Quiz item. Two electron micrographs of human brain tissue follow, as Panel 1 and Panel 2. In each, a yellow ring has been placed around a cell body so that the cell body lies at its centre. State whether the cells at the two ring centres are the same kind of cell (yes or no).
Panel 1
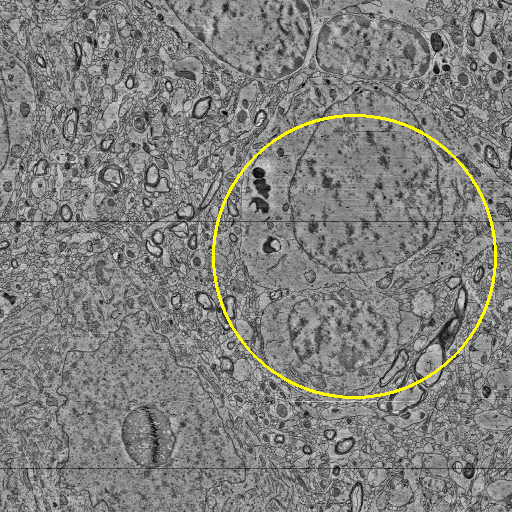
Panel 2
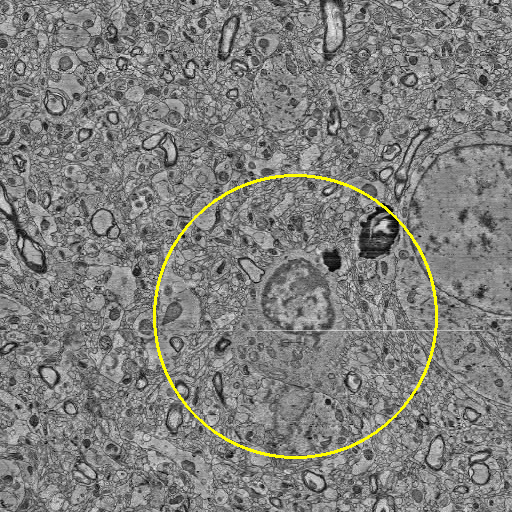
no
